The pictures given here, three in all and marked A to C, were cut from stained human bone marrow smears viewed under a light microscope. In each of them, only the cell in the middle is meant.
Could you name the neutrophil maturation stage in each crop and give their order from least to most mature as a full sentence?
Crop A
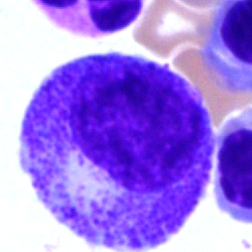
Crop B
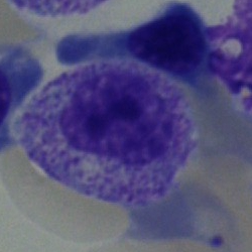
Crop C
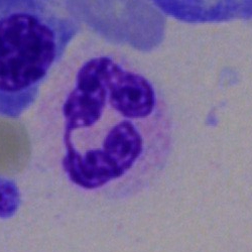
The series, from least to most mature, is crop A (a promyelocyte), crop B (a myelocyte) and crop C (a segmented neutrophil).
